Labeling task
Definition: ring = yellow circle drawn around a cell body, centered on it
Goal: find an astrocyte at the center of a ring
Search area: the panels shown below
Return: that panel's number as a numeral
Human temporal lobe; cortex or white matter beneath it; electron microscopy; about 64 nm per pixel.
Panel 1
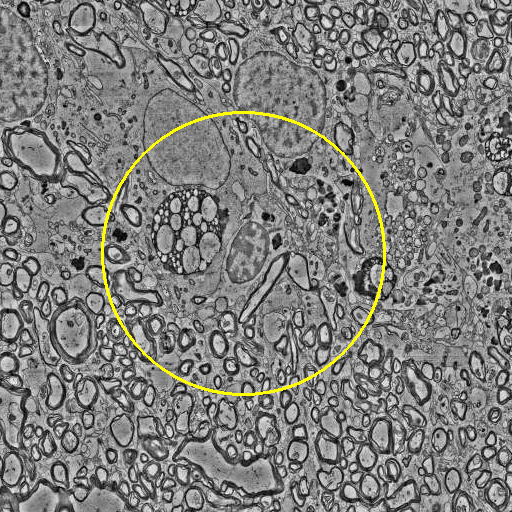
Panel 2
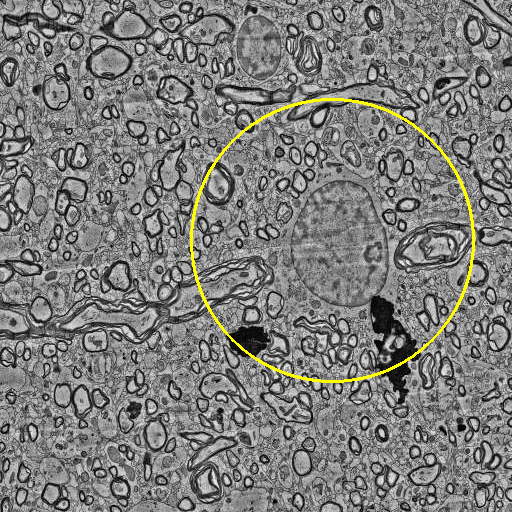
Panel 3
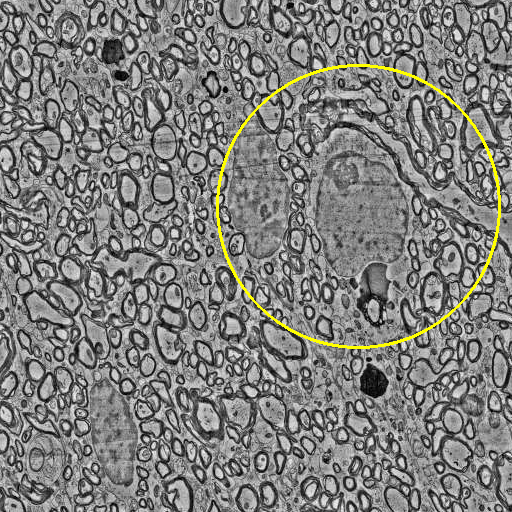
3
